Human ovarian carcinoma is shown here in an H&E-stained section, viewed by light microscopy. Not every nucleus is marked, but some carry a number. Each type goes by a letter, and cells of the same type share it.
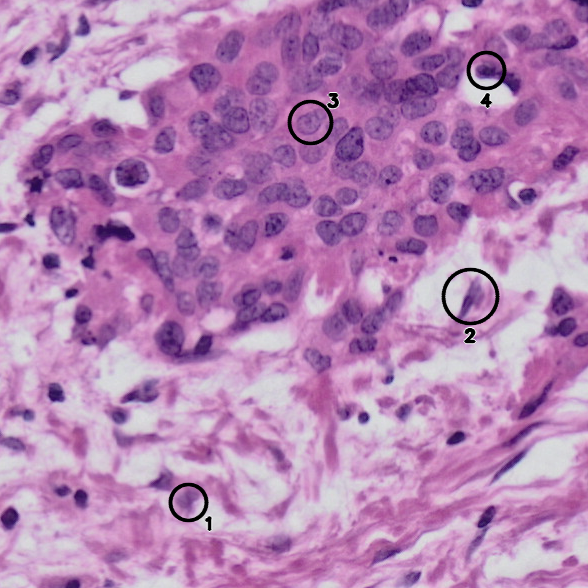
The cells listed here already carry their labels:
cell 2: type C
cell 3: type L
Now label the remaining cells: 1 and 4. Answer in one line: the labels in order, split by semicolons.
type C; type L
